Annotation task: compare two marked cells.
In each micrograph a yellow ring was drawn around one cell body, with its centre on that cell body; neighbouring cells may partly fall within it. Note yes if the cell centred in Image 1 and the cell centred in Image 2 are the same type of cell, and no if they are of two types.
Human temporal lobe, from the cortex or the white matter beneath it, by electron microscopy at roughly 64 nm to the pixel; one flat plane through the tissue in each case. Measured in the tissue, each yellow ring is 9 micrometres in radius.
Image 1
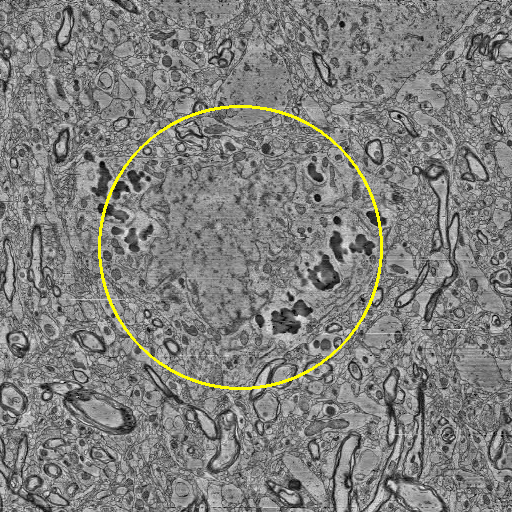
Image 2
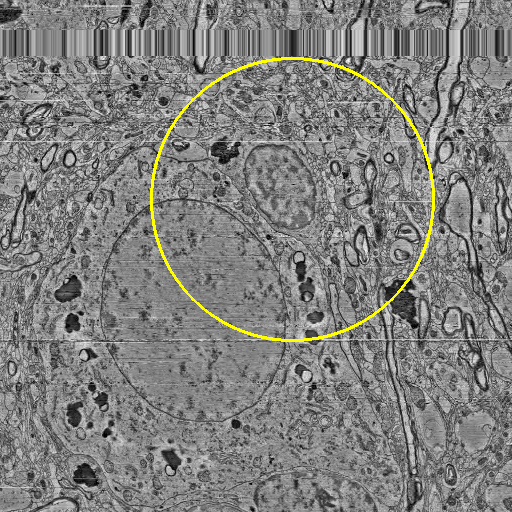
no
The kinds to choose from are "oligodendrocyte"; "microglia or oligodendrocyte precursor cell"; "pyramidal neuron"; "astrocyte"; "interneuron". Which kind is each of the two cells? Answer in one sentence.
Of the two, the first cell is an interneuron and the second cell is an oligodendrocyte.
